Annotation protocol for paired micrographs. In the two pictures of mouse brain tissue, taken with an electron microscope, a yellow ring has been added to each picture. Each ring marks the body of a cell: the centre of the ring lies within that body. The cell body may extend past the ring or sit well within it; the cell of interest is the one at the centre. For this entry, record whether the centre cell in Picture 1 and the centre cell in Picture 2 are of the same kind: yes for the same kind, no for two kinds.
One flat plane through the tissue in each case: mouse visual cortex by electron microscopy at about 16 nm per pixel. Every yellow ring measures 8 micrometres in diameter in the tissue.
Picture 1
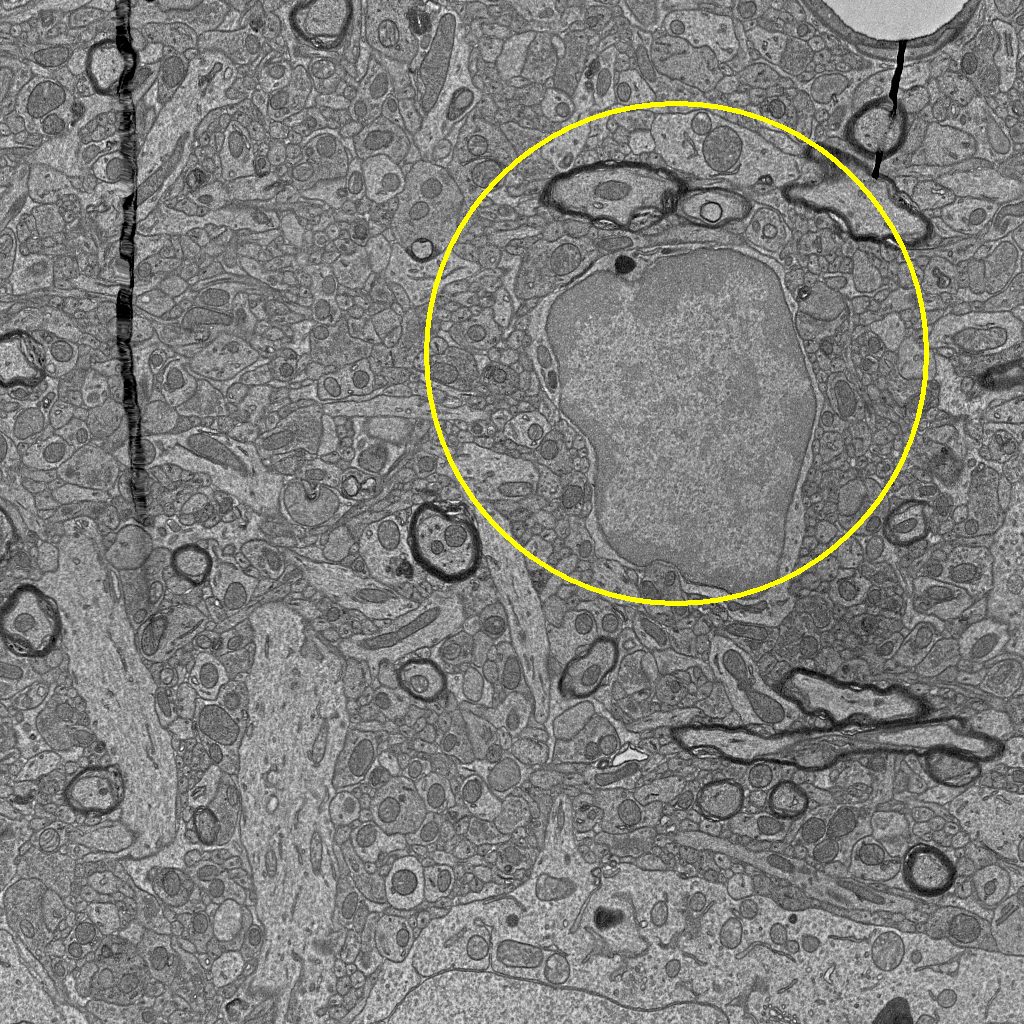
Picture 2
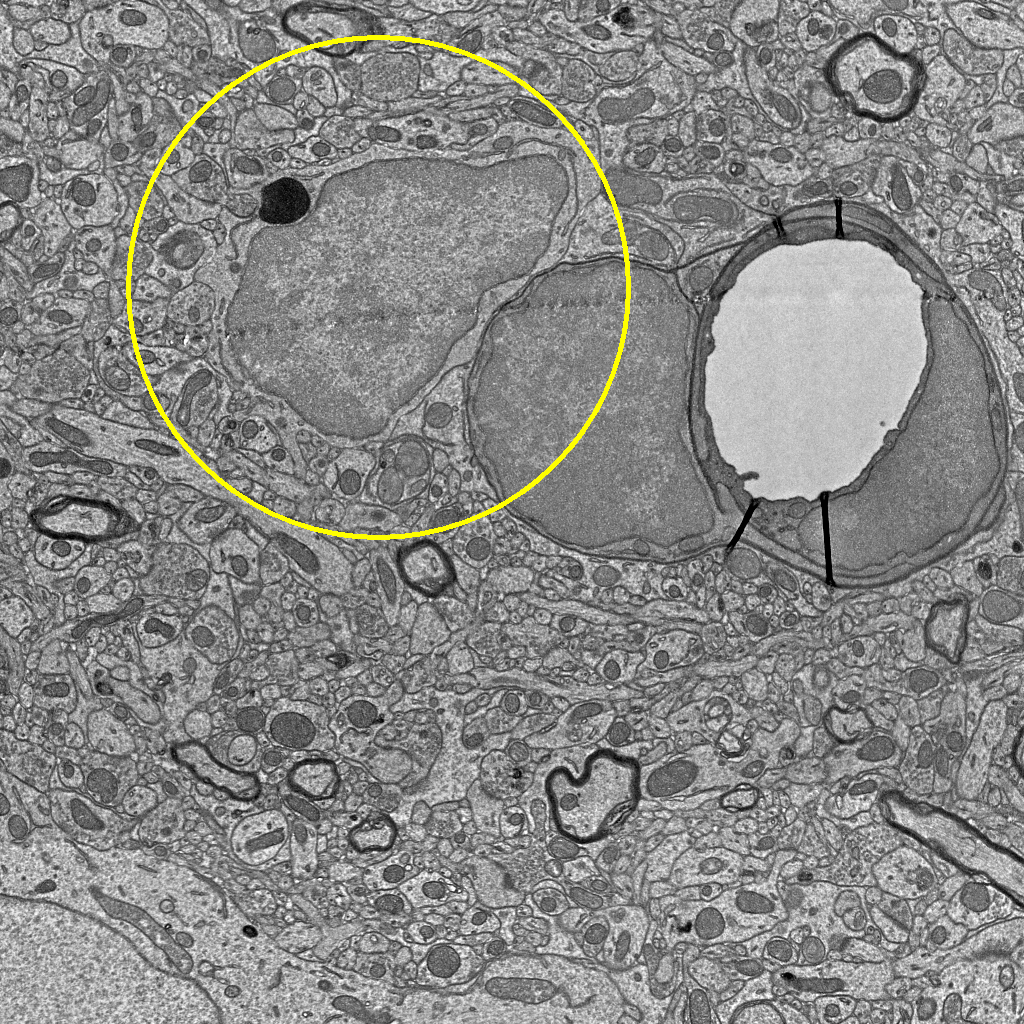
yes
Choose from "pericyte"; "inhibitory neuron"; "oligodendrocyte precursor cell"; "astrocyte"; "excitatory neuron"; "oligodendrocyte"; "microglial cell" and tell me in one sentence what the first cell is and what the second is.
Each cell, in the first picture and the second, is a microglial cell.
